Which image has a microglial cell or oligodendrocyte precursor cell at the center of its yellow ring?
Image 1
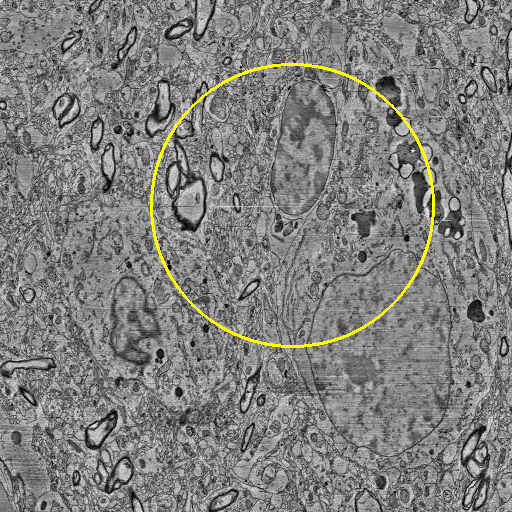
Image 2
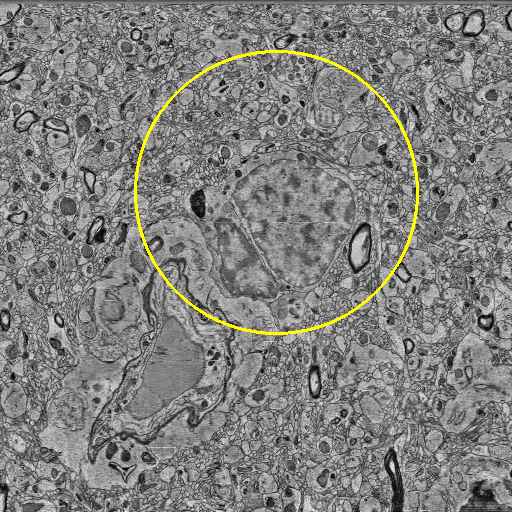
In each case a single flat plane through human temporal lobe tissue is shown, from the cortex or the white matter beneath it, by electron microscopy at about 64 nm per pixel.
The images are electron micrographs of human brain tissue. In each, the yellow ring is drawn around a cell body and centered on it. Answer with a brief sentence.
It is at the center of the ring in Image 1.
